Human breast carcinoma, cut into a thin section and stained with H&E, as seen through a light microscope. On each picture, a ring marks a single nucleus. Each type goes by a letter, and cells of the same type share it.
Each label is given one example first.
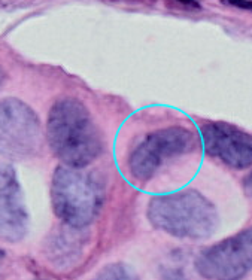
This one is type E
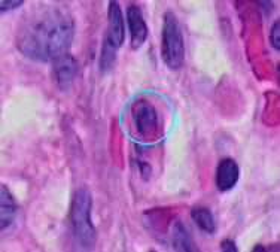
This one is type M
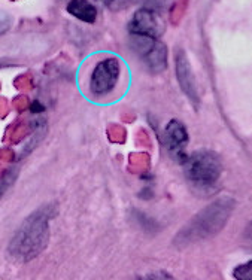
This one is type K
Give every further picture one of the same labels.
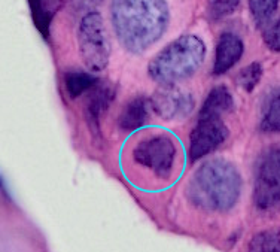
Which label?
type E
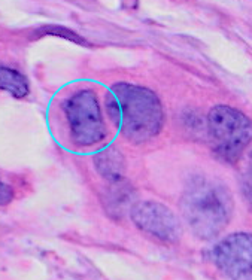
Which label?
type E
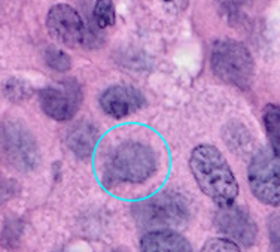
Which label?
type E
